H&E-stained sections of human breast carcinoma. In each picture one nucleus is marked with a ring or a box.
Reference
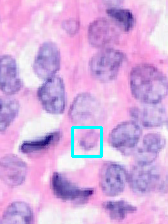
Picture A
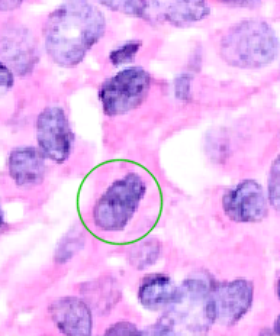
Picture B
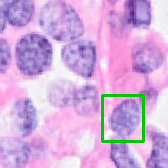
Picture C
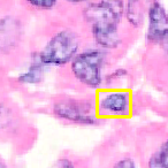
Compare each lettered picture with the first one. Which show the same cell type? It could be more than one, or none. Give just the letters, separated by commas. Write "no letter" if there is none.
A, B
